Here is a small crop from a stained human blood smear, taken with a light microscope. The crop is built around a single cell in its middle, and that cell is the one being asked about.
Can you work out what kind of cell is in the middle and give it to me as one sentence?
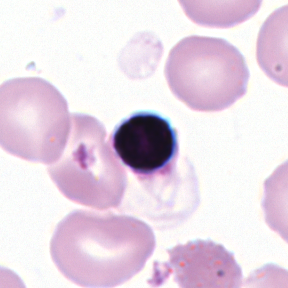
By classification, the middle cell of this crop is an erythroblast.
